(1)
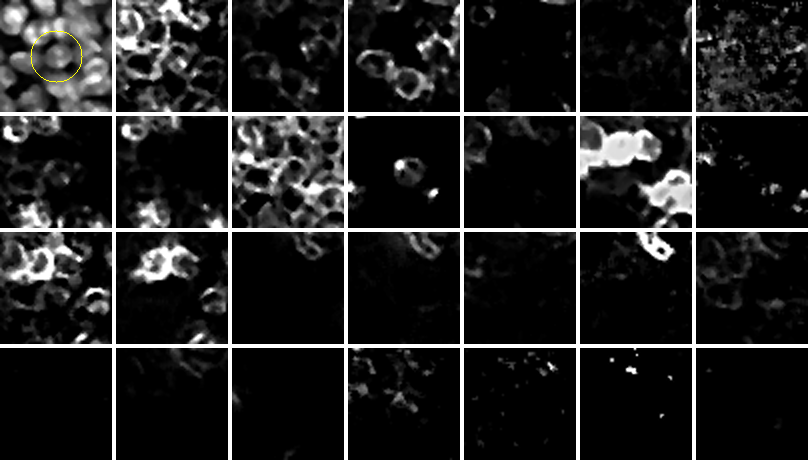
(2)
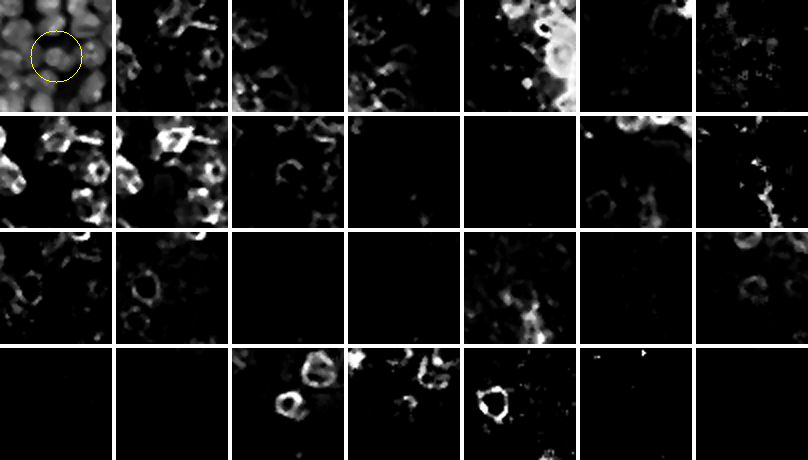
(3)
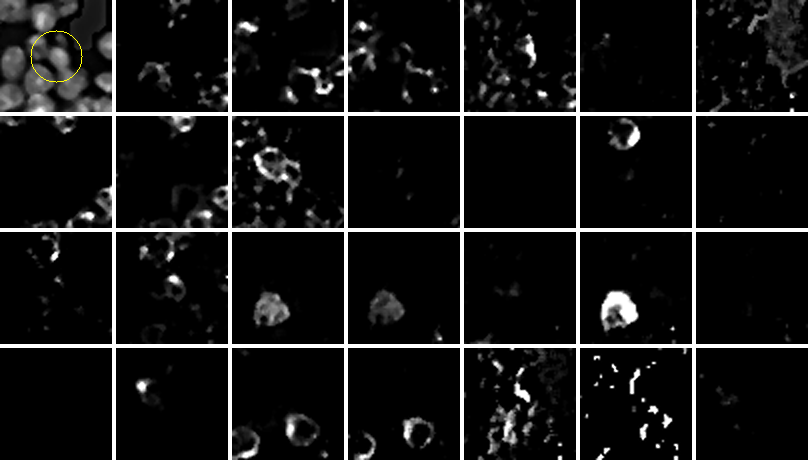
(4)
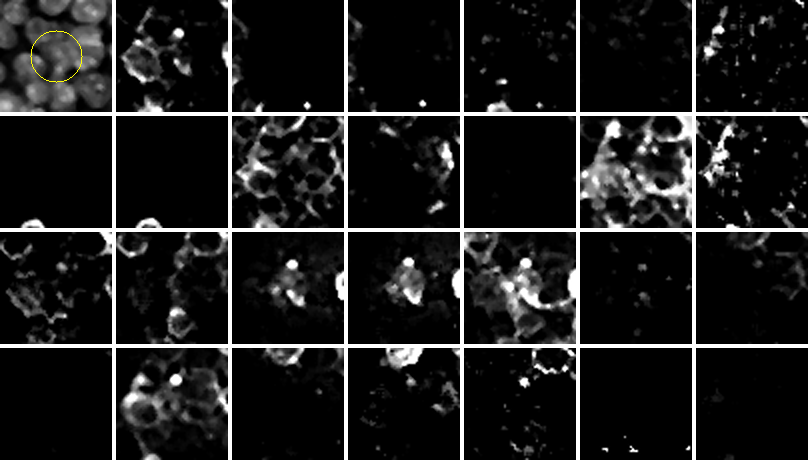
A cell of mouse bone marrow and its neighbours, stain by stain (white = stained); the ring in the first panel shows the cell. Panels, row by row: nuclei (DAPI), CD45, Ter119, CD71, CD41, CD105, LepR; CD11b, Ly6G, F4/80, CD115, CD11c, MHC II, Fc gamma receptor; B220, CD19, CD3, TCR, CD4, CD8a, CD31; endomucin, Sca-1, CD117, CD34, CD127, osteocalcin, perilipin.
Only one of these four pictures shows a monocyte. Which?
Picture 1.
